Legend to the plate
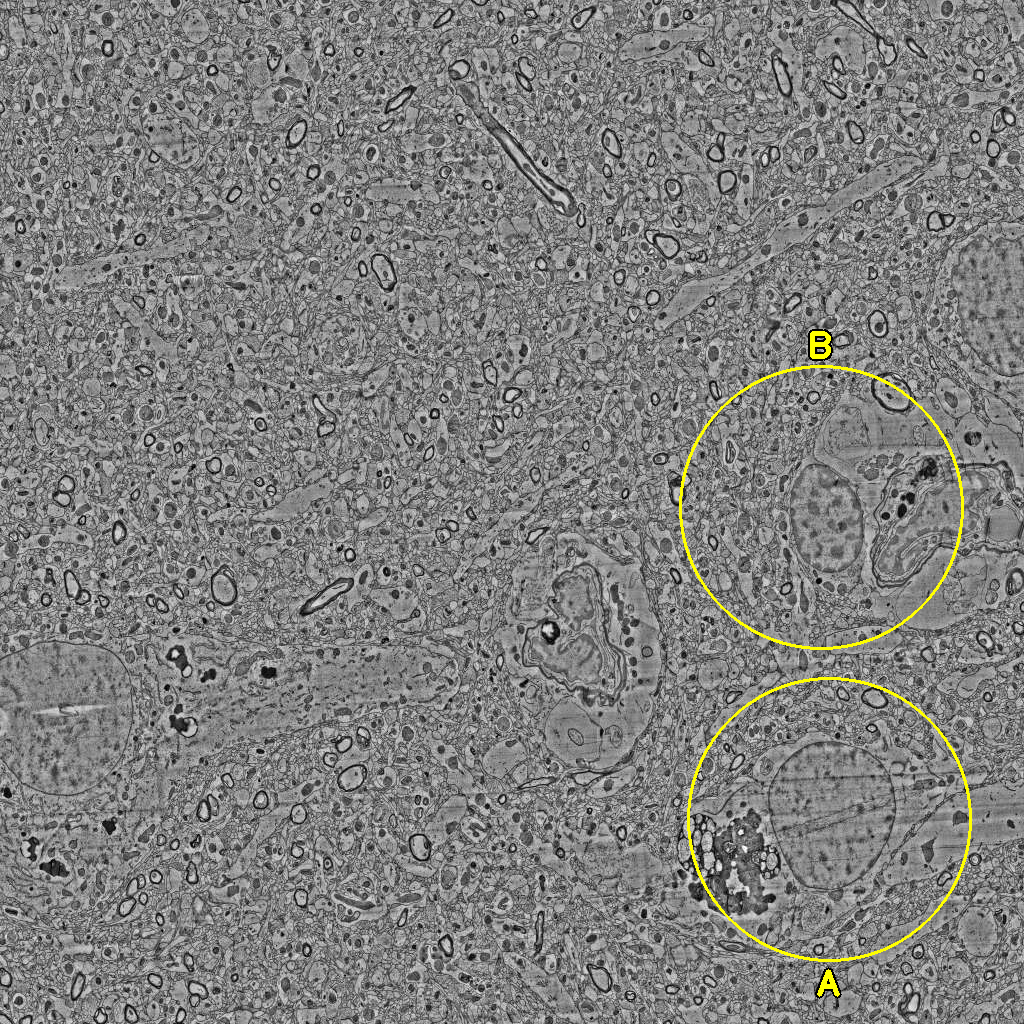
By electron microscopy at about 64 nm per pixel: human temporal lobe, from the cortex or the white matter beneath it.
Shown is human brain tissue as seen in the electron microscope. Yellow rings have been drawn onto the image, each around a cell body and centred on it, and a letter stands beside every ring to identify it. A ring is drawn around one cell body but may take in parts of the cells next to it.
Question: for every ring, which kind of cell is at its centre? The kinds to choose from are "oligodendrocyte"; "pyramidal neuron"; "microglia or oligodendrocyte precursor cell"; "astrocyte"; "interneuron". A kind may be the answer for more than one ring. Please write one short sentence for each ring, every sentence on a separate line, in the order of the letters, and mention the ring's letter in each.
The kind of cell at the centre of ring A is an astrocyte.
The kind of cell at the centre of ring B is an oligodendrocyte.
